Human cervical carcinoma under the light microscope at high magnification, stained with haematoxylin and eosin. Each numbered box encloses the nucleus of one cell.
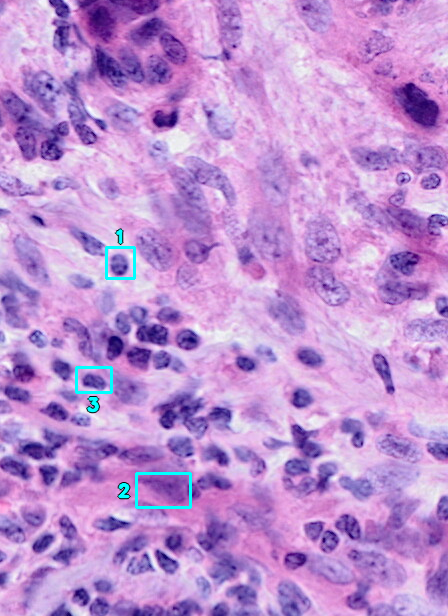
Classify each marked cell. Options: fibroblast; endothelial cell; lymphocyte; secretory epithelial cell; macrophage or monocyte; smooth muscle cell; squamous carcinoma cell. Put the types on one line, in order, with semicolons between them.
lymphocyte; endothelial cell; lymphocyte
